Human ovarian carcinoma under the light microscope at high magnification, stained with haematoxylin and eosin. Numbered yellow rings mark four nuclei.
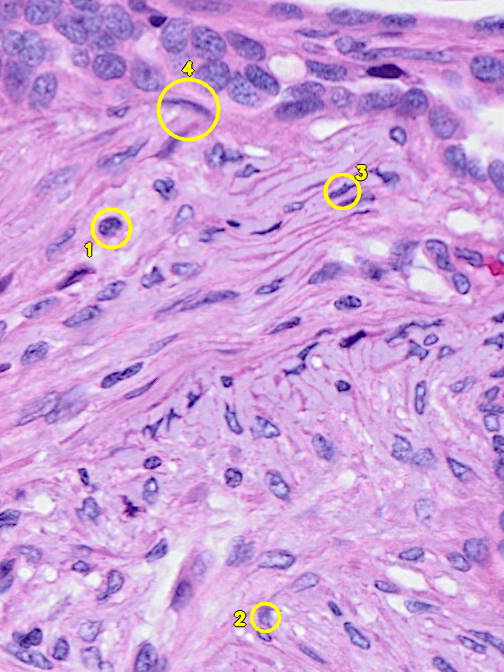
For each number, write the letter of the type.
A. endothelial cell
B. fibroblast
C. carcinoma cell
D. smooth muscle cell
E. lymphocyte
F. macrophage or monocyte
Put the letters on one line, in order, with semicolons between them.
E; B; B; B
